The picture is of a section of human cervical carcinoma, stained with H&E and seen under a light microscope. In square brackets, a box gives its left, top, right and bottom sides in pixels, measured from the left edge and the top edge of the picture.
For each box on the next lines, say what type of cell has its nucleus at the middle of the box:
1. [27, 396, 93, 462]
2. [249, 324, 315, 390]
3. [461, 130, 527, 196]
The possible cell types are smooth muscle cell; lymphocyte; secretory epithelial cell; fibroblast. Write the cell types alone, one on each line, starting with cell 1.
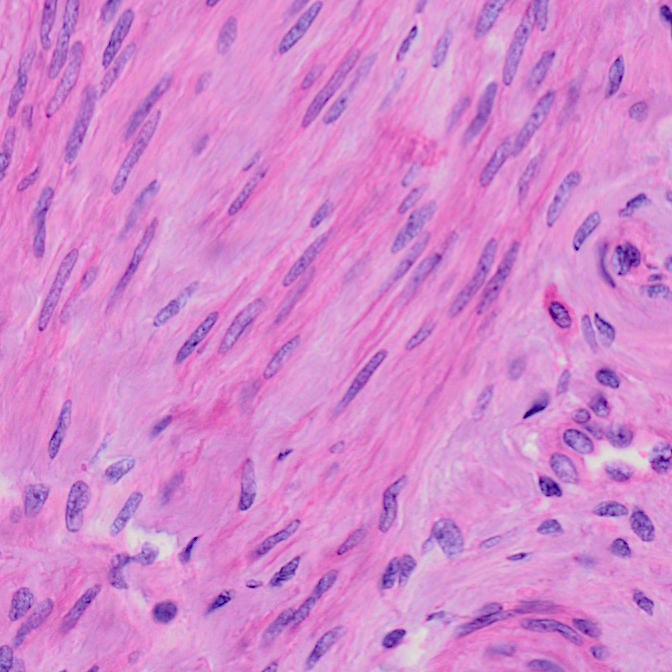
fibroblast
smooth muscle cell
smooth muscle cell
